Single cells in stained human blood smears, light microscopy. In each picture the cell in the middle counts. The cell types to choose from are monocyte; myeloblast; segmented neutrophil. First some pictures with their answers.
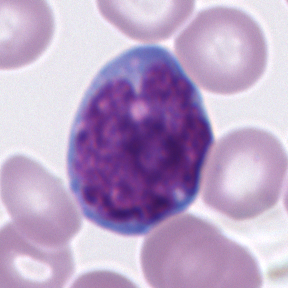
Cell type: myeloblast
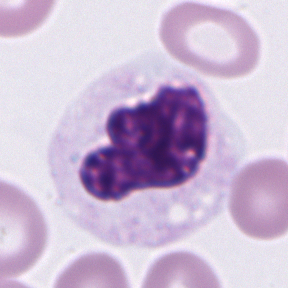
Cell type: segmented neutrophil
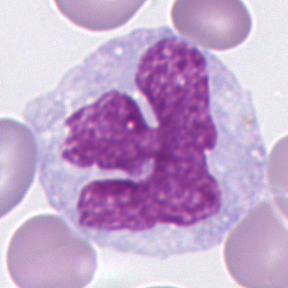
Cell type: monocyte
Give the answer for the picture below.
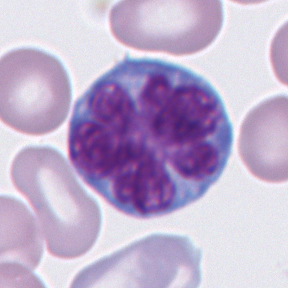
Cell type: myeloblast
